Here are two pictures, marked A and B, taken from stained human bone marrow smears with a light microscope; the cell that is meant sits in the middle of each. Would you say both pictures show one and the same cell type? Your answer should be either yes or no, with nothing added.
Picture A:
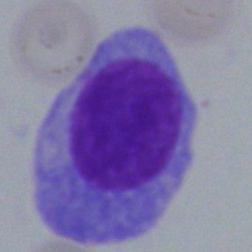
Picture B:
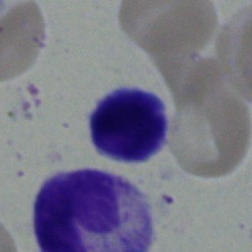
no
